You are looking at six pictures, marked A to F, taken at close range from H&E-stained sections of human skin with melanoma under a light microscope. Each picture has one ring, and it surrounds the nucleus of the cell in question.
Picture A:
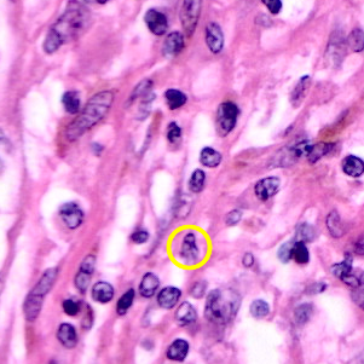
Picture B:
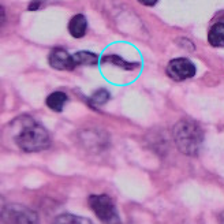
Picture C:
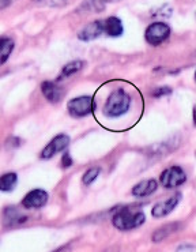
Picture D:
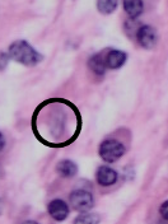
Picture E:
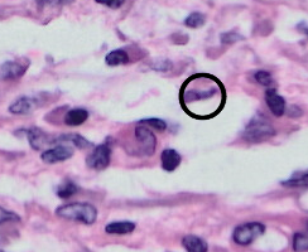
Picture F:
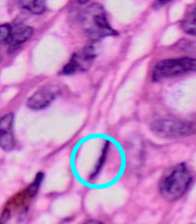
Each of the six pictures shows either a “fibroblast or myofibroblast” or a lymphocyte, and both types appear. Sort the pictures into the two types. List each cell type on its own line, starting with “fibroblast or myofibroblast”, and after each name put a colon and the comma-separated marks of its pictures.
fibroblast or myofibroblast: B, D, E, F
lymphocyte: A, C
